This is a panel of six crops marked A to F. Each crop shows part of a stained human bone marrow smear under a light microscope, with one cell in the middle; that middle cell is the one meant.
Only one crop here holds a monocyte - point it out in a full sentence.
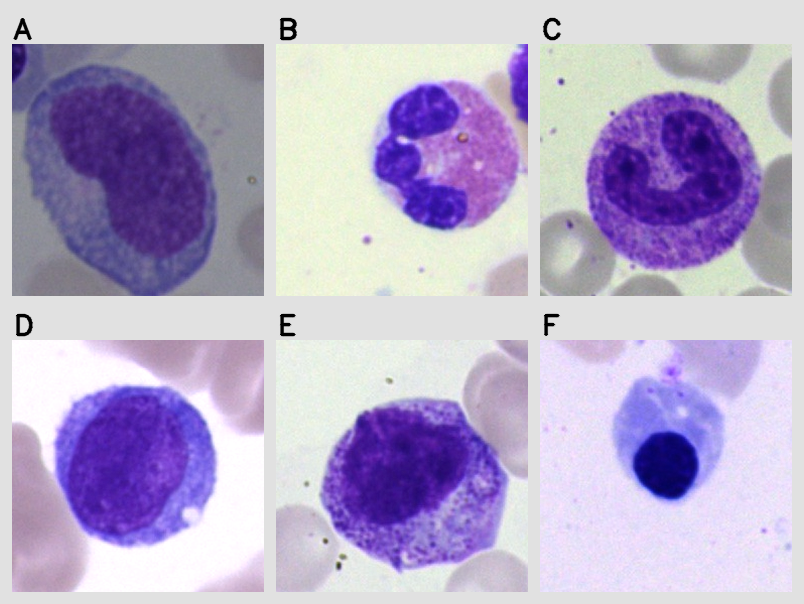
Crop A is identified as the crop showing a monocyte.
